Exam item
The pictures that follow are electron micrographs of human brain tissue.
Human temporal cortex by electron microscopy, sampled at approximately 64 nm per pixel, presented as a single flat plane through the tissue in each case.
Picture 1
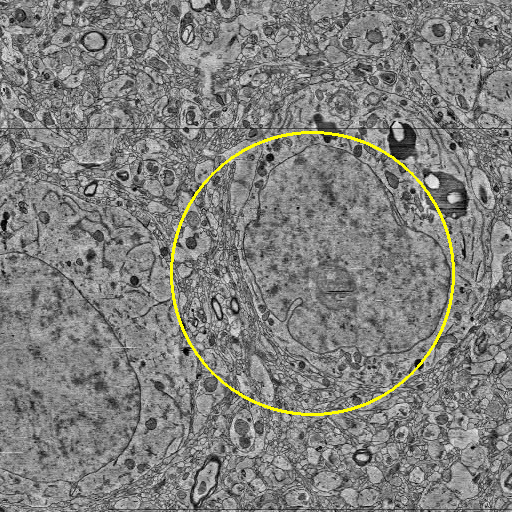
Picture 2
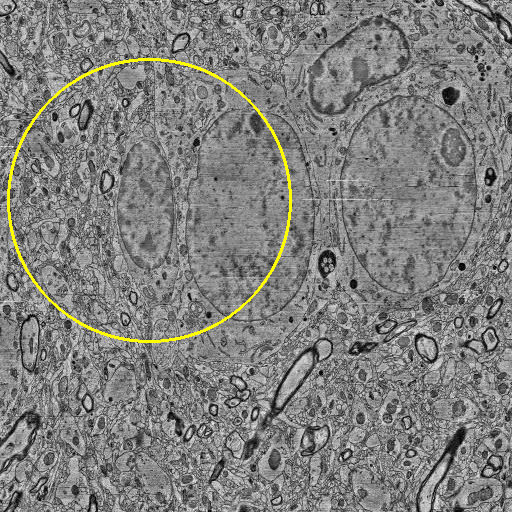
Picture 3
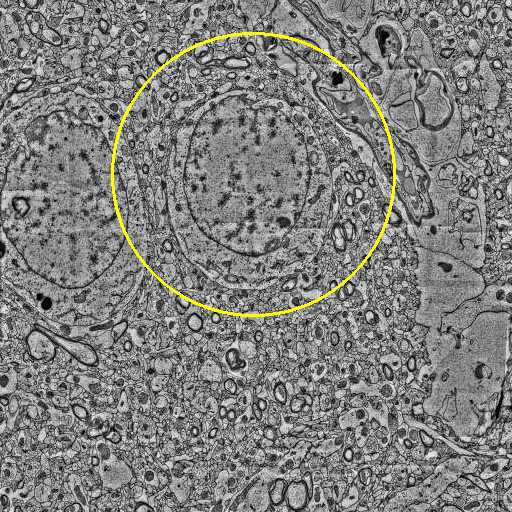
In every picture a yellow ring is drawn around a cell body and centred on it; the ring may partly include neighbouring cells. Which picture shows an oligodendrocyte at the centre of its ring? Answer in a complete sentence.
The cell at the centre of the ring in Picture 2 is the one asked for.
